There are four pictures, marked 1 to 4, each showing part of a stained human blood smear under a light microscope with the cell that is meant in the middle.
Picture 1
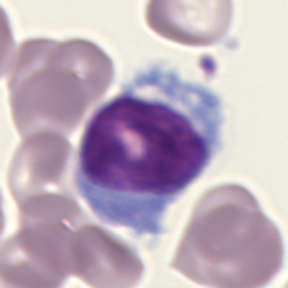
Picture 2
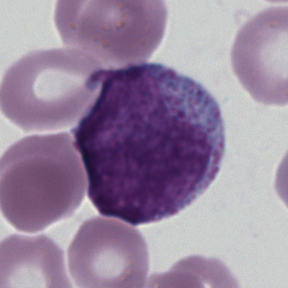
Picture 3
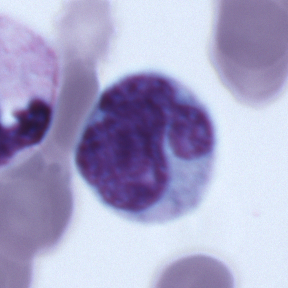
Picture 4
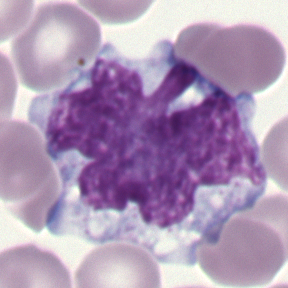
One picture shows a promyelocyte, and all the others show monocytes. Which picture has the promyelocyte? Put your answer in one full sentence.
The picture with the promyelocyte is 2.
